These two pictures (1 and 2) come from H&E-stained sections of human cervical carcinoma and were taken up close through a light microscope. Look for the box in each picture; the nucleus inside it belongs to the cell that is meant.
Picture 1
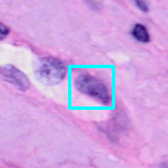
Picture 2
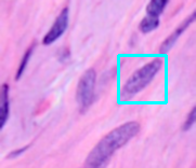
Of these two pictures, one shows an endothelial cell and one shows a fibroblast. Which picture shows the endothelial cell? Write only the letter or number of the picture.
1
